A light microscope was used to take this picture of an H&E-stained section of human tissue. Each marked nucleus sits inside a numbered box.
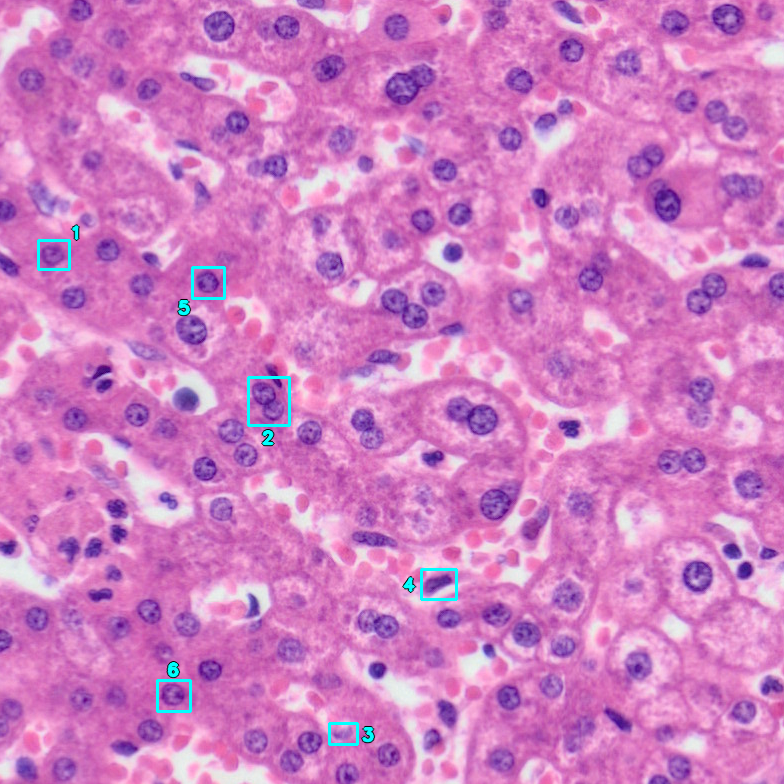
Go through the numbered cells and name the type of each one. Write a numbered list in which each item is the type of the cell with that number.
1. hepatocyte
2. hepatocyte
3. endothelial cell
4. Kupffer cell
5. hepatocyte
6. hepatocyte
